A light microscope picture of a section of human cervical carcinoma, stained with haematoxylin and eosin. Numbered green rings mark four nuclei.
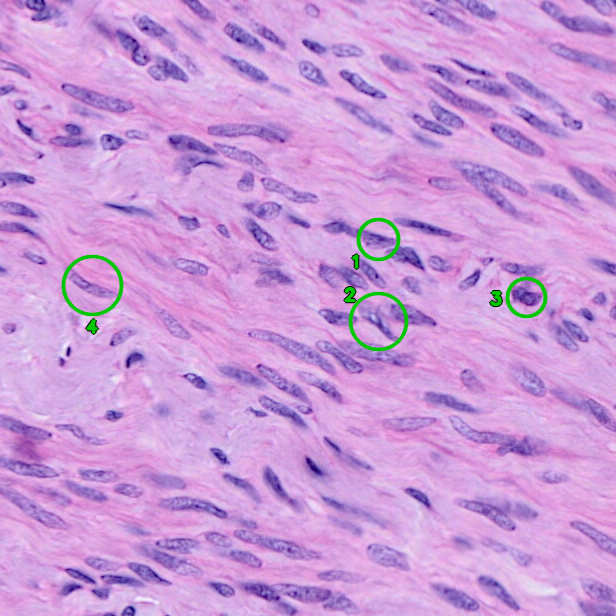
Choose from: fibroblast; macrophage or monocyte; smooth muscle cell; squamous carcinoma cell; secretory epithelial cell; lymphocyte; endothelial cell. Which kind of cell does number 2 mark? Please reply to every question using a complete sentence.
The identity of cell 2 is that of a smooth muscle cell.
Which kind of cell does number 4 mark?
To a smooth muscle cell belongs the nucleus marked 4.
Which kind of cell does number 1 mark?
What the number 1 marks in this field is a fibroblast.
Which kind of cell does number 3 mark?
Denoted by the label 3 in the section is a smooth muscle cell.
